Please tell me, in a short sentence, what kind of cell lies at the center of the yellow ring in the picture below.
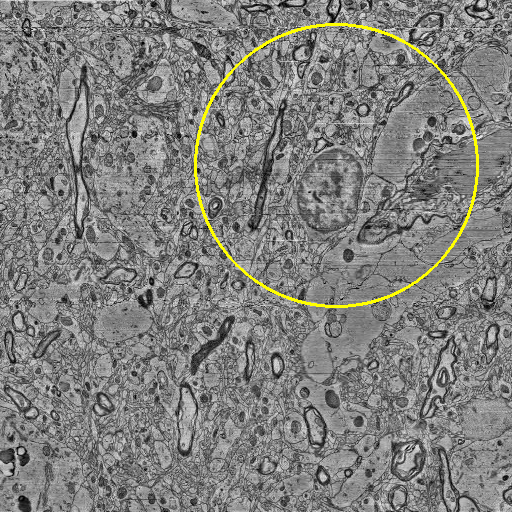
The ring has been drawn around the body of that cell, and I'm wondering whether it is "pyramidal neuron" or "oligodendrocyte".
The cell at the center of the ring is an oligodendrocyte.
